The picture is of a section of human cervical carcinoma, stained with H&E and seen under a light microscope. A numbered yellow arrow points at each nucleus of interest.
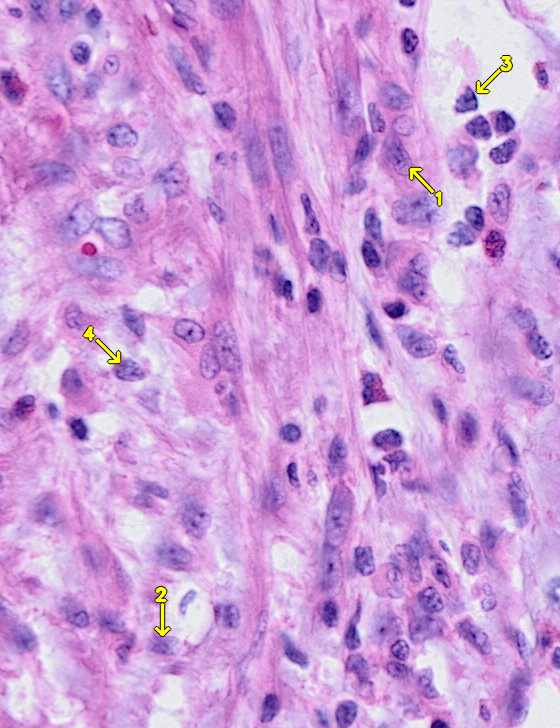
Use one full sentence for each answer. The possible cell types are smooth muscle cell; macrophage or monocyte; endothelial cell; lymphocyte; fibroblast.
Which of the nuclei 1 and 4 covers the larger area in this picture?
Nucleus 1 covers more area, about 1.5 times as much as nucleus 4.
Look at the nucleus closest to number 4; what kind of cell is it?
It is a fibroblast whose nucleus is nearest to number 4.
